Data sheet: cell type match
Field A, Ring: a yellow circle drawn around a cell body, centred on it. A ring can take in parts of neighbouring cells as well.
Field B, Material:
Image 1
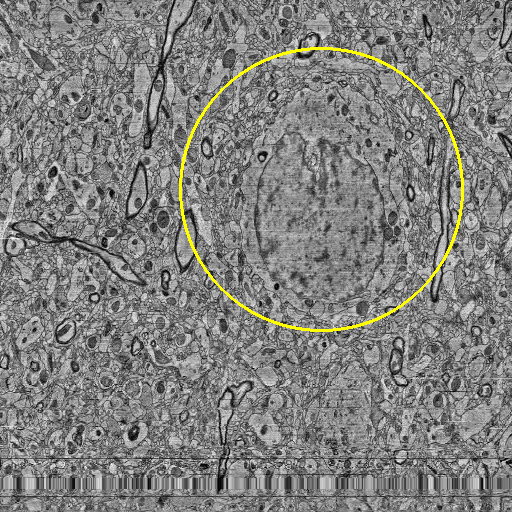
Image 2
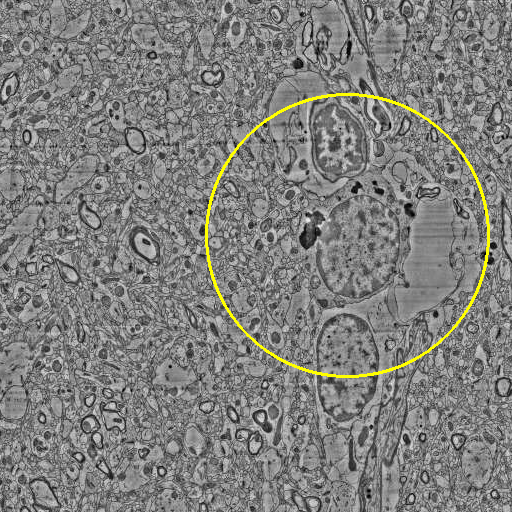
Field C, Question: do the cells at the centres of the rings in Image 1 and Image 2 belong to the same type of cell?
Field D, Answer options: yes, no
no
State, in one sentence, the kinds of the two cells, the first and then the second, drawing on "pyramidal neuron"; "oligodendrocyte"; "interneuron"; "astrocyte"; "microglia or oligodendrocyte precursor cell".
The ring in the second picture is centred on an oligodendrocyte, the ring in the first on an interneuron.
